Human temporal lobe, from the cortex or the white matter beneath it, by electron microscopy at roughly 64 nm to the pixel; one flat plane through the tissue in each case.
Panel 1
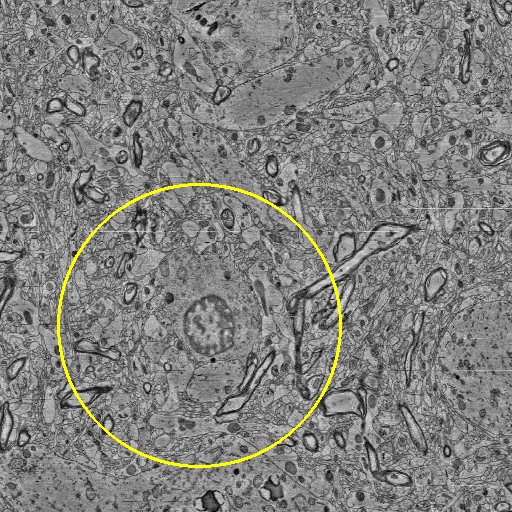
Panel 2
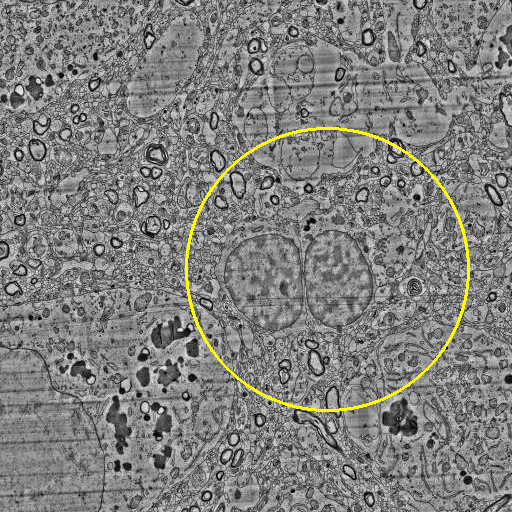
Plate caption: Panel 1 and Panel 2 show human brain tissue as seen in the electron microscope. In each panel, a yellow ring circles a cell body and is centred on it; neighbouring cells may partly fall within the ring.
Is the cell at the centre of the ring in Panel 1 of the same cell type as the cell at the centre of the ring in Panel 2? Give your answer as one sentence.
Yes, the two cells are of the same type.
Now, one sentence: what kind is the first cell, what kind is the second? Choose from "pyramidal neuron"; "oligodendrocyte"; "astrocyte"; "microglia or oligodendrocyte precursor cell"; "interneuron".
Each one of the two ringed cells is an oligodendrocyte.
